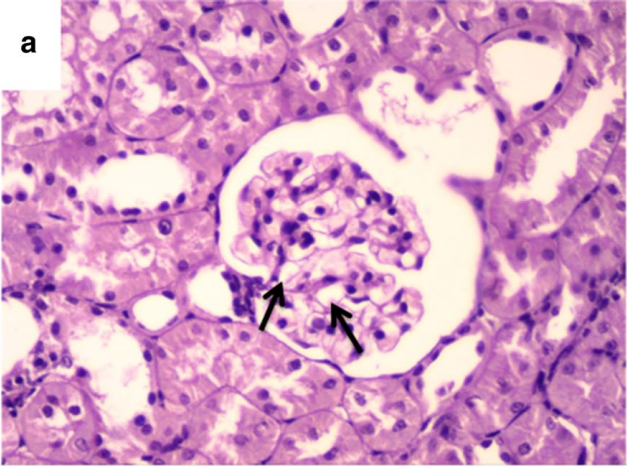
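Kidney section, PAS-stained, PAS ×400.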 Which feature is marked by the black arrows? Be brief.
patent glomerular capillary lumina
